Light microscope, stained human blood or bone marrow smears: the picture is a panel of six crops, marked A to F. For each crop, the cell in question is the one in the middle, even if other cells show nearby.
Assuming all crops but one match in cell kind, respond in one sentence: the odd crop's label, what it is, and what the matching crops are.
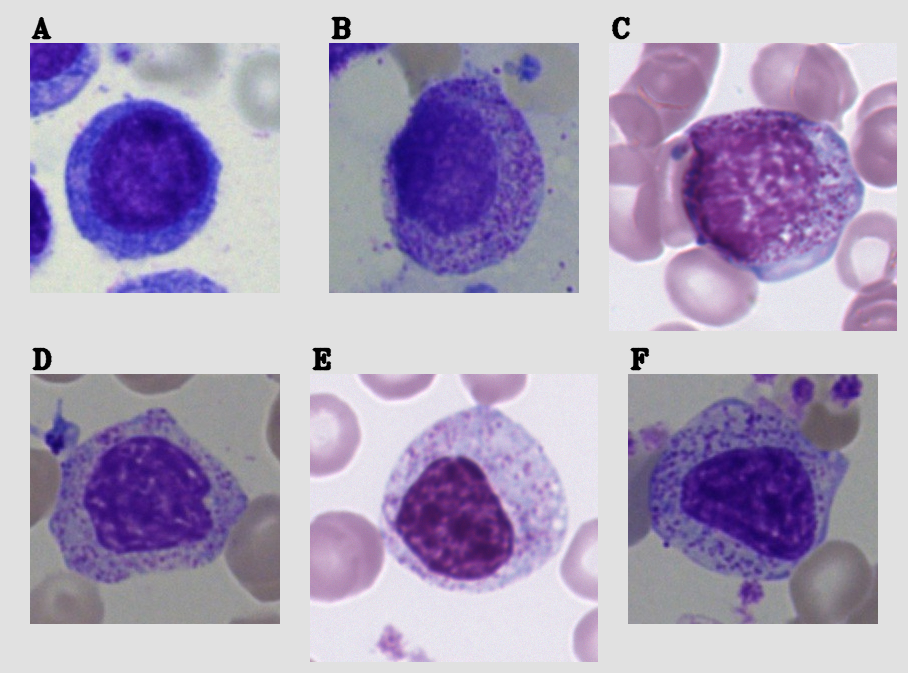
The others are all myelocytes; crop A is a blast.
